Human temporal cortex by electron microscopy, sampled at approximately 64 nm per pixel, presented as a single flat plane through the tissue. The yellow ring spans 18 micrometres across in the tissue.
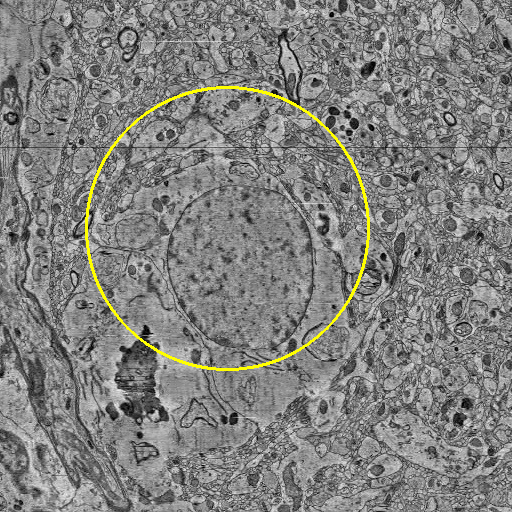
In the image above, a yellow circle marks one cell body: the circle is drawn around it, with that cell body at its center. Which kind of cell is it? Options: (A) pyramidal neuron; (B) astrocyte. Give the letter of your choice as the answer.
B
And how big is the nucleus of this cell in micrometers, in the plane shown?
Roughly 11 micrometers across, in this plane.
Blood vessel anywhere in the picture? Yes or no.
Yes, a vessel appears in the picture.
